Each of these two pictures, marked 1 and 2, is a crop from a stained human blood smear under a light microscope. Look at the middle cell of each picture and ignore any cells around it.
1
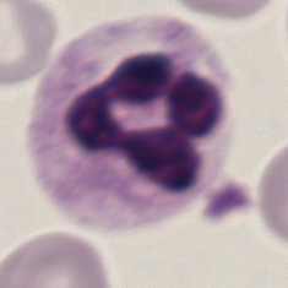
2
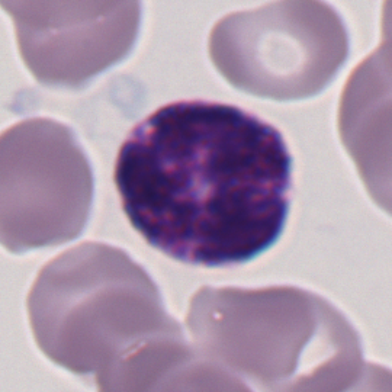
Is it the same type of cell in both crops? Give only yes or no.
no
